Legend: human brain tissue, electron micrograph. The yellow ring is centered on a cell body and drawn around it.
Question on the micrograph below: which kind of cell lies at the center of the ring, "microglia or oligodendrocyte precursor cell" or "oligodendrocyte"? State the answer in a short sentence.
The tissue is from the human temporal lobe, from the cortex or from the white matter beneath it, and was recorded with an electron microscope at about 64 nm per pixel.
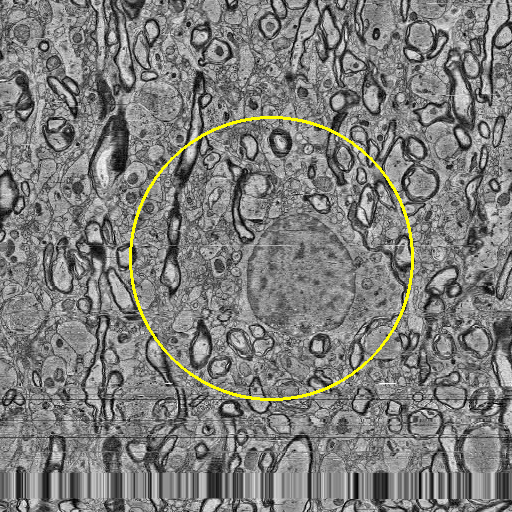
At the center of the ring lies an oligodendrocyte.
